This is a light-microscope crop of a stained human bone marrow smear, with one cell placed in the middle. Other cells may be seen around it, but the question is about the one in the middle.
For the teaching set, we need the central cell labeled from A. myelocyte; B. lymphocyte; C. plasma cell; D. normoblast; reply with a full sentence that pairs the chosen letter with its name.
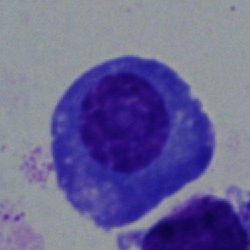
Here the central cell is a plasma cell, and option C is correct.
